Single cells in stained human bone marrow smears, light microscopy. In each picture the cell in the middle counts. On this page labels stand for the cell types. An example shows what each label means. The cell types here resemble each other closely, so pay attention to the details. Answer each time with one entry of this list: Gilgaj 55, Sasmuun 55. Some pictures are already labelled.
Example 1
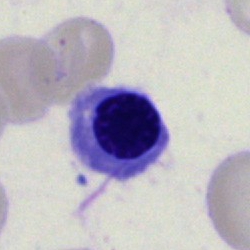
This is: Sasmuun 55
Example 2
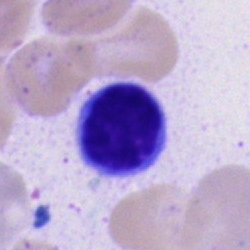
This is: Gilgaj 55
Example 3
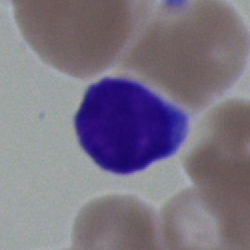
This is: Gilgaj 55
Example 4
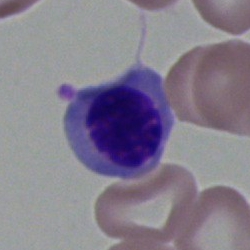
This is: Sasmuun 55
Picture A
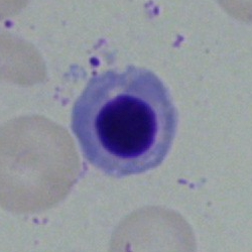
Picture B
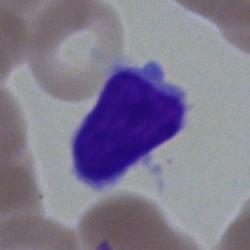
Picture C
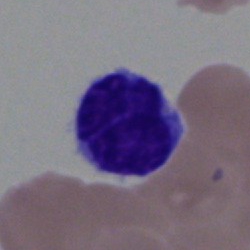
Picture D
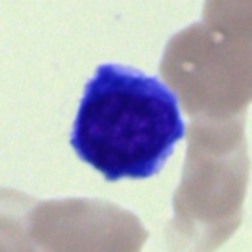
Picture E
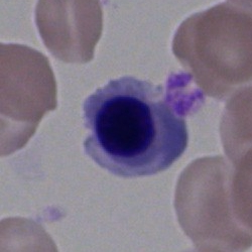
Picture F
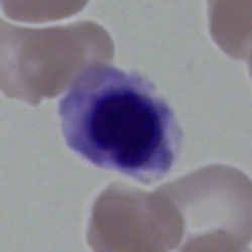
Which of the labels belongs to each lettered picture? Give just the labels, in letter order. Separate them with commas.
Sasmuun 55, Gilgaj 55, Gilgaj 55, Sasmuun 55, Sasmuun 55, Sasmuun 55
